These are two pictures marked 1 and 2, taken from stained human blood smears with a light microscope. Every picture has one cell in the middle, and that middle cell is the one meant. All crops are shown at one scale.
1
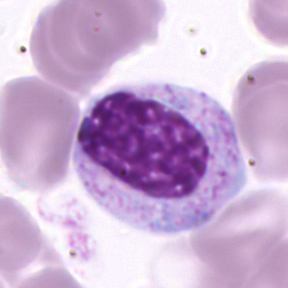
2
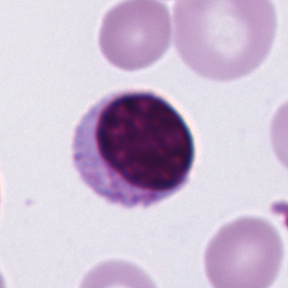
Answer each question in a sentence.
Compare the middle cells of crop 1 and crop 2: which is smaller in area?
The cell in crop 2 is smaller; the one in crop 1 has about 2 times its area.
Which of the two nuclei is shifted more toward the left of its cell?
It is the nucleus in crop 1 that lies further toward the left of its cell.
